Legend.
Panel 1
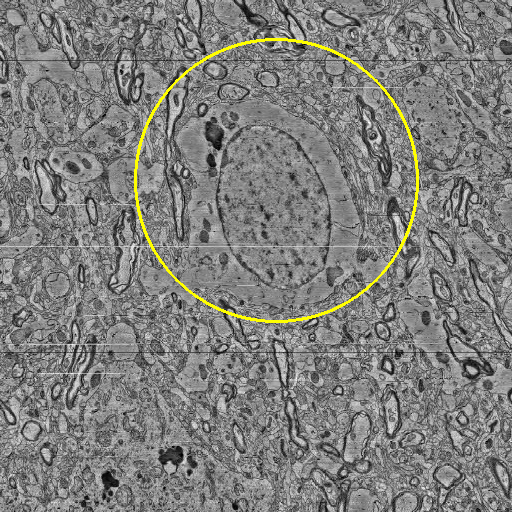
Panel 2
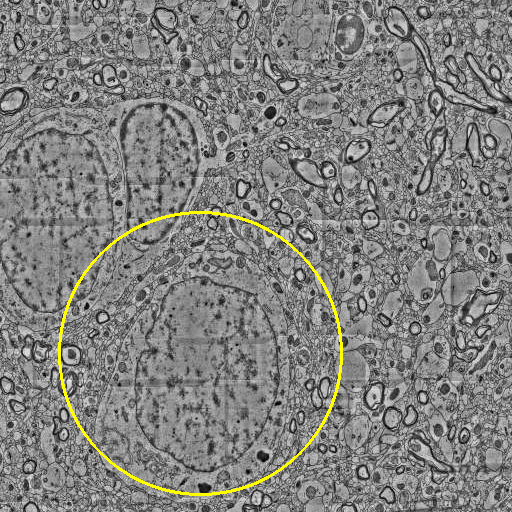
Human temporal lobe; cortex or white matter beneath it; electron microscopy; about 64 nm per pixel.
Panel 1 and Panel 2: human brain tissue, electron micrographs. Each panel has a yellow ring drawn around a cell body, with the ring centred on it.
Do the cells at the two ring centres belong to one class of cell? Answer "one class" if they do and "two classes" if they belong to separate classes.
two classes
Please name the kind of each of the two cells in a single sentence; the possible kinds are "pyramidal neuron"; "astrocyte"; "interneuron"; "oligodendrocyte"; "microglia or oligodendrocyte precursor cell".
In the first picture the ring is centred on an astrocyte, and in the second on a pyramidal neuron.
